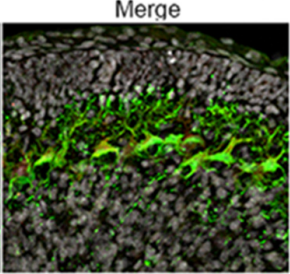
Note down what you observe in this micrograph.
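From each cell body short thick dendrites branch upward into the overlying layer. Above the row, densely packed gray nuclei fill the outer layer near the surface, and many gray nuclei also crowd the layer beneath the Purkinje cells.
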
